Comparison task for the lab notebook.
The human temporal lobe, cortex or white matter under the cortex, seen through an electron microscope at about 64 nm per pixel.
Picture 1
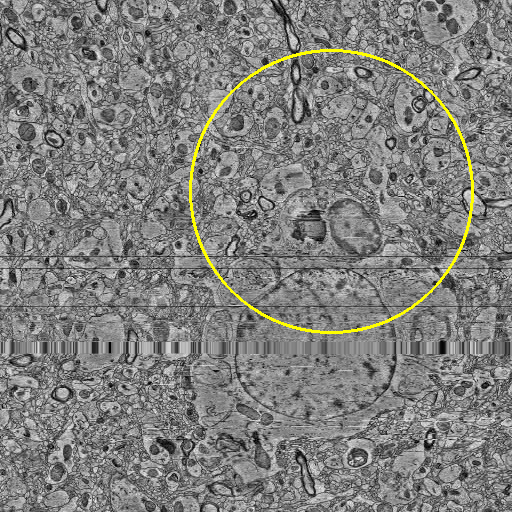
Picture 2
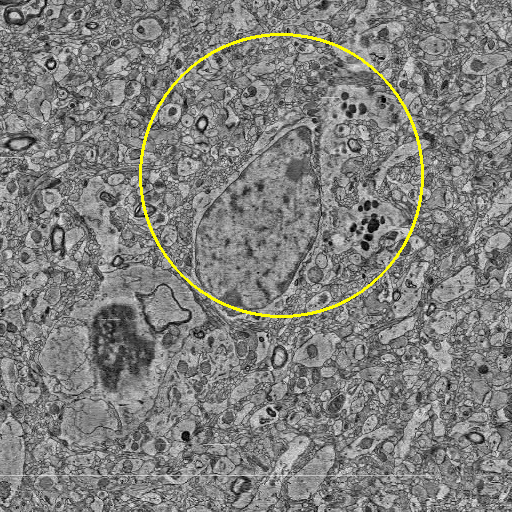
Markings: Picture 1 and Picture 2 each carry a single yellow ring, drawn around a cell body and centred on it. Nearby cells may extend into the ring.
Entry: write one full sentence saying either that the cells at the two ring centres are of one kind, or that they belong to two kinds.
The cells sitting at the ring centres in Picture 1 and Picture 2 belong to two kinds.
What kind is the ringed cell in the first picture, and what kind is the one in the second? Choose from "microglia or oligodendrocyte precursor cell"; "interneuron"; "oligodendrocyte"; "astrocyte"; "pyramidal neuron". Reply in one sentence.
The first cell is an oligodendrocyte; the second is a microglial cell or oligodendrocyte precursor cell.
